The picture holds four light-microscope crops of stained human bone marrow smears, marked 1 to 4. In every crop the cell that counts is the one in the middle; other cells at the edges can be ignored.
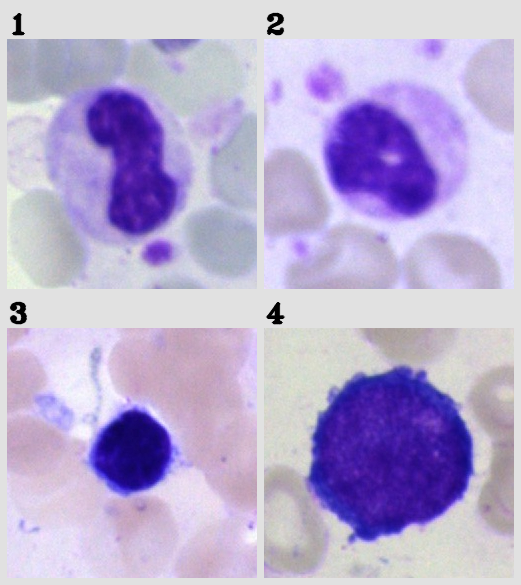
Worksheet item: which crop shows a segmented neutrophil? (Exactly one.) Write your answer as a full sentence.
Of the crops given, a segmented neutrophil is found in crop 2.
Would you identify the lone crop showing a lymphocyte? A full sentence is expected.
Crop 3 is identified as the crop showing a lymphocyte.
